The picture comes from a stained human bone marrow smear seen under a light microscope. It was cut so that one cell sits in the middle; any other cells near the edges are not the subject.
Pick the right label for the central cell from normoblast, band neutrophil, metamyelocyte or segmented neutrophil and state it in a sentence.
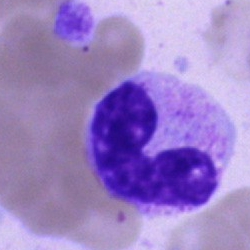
In the middle of this smear crop, the cell is a band neutrophil.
